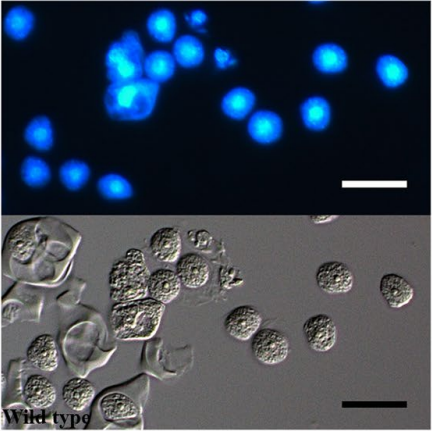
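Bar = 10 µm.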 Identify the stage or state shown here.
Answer: microspore stage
